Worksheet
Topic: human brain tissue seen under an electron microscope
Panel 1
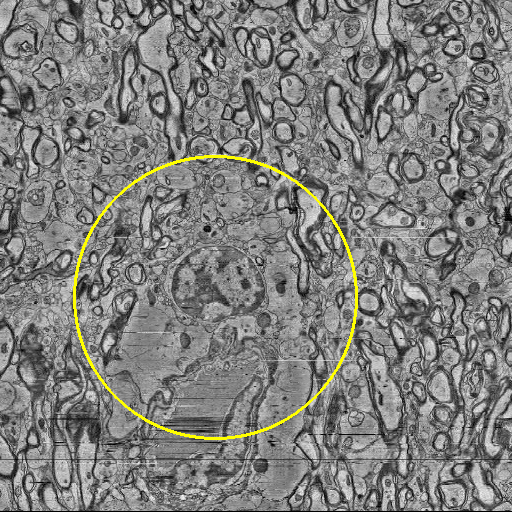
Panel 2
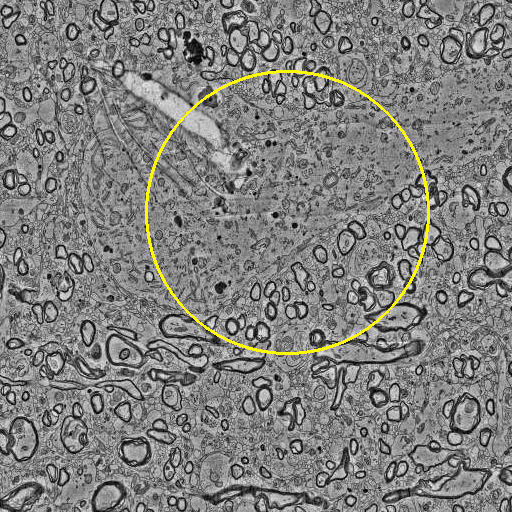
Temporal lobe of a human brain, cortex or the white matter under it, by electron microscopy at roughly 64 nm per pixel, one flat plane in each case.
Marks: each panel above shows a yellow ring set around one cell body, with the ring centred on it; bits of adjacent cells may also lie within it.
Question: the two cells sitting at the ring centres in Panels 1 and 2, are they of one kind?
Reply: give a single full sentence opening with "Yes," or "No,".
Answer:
No, the two ring-centre cells in Panel 1 and Panel 2 are of two kinds.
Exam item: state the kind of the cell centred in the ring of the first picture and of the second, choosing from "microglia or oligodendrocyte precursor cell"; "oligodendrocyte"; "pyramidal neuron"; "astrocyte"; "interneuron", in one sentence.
The first picture shows a microglial cell or oligodendrocyte precursor cell at the ring centre and the second shows an oligodendrocyte.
